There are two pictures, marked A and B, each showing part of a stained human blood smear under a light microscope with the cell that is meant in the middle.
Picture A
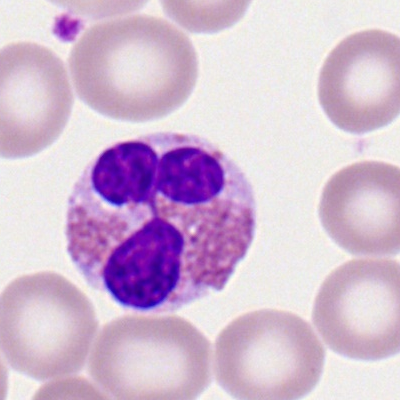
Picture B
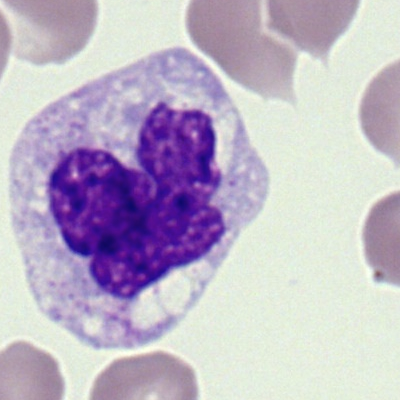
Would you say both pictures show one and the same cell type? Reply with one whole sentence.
No, the types are not the same, since picture A shows an eosinophil and picture B a monocyte.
